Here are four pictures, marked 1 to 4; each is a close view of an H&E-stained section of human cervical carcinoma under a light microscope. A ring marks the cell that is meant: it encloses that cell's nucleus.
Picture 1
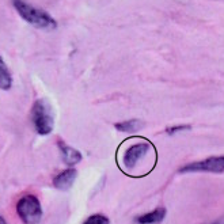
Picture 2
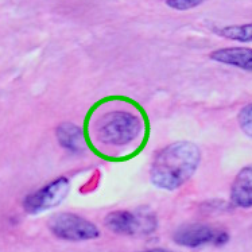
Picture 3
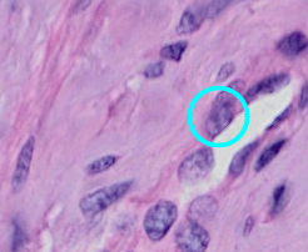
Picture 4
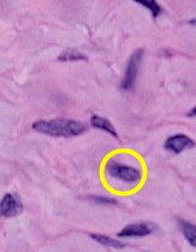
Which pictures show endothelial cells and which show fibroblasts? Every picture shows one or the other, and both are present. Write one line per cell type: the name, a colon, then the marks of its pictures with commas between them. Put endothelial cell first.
endothelial cell: 2, 3
fibroblast: 1, 4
